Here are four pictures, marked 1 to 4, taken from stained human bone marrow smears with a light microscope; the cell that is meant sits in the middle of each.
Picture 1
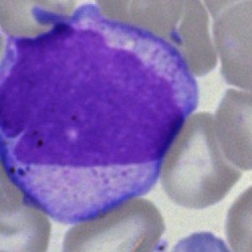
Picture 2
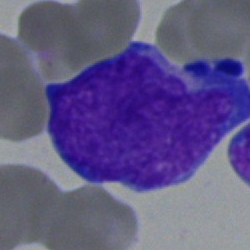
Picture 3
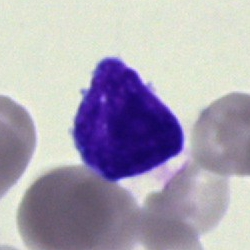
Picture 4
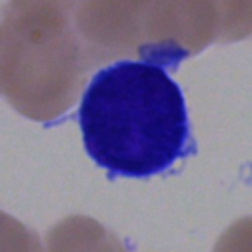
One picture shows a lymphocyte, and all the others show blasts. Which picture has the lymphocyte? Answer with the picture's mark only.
3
